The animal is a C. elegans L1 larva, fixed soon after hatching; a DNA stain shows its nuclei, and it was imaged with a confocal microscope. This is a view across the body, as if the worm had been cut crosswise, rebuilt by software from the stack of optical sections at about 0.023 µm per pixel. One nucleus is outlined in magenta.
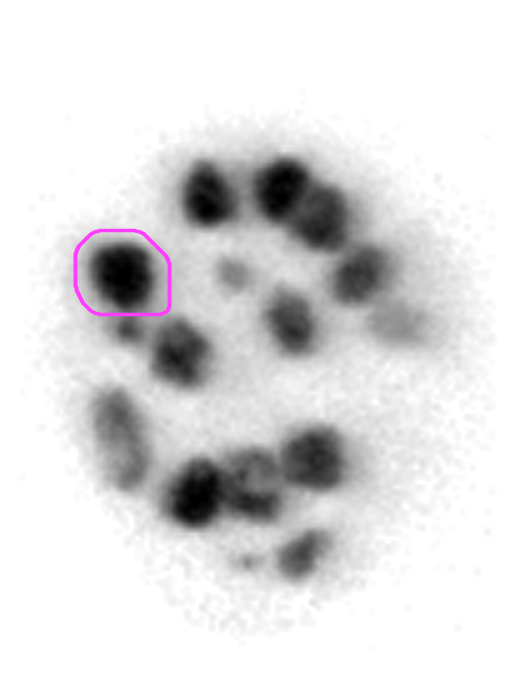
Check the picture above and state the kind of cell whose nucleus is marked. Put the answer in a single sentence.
The marked nucleus belongs to a neuron.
